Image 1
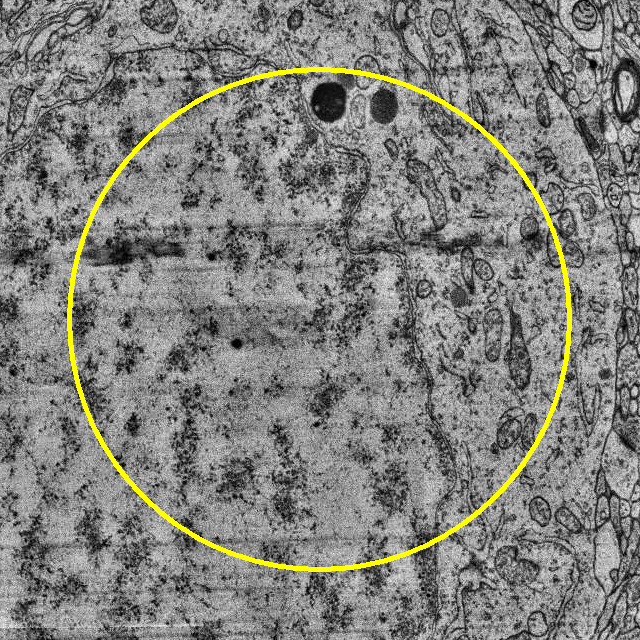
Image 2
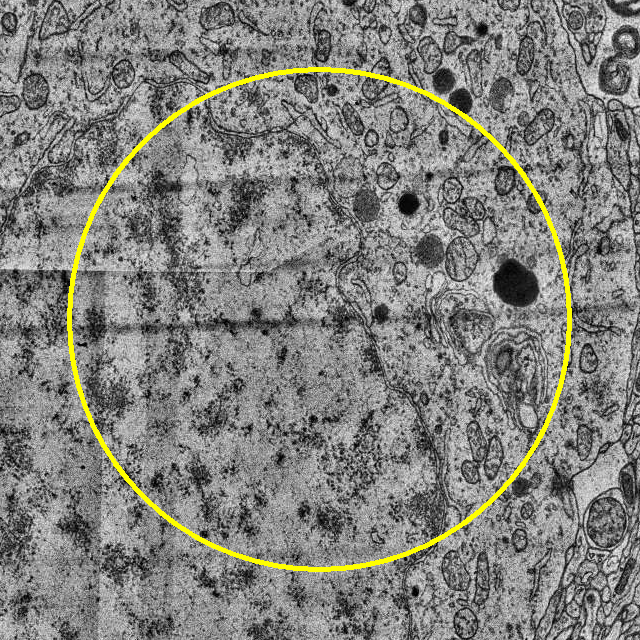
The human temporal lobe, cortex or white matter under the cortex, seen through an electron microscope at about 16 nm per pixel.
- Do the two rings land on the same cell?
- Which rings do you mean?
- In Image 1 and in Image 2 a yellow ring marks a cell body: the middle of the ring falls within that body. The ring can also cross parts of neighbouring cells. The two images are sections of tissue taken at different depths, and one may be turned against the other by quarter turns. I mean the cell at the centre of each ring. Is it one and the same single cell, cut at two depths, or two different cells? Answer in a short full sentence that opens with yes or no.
Yes, a single cell is marked twice, once by each yellow ring.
